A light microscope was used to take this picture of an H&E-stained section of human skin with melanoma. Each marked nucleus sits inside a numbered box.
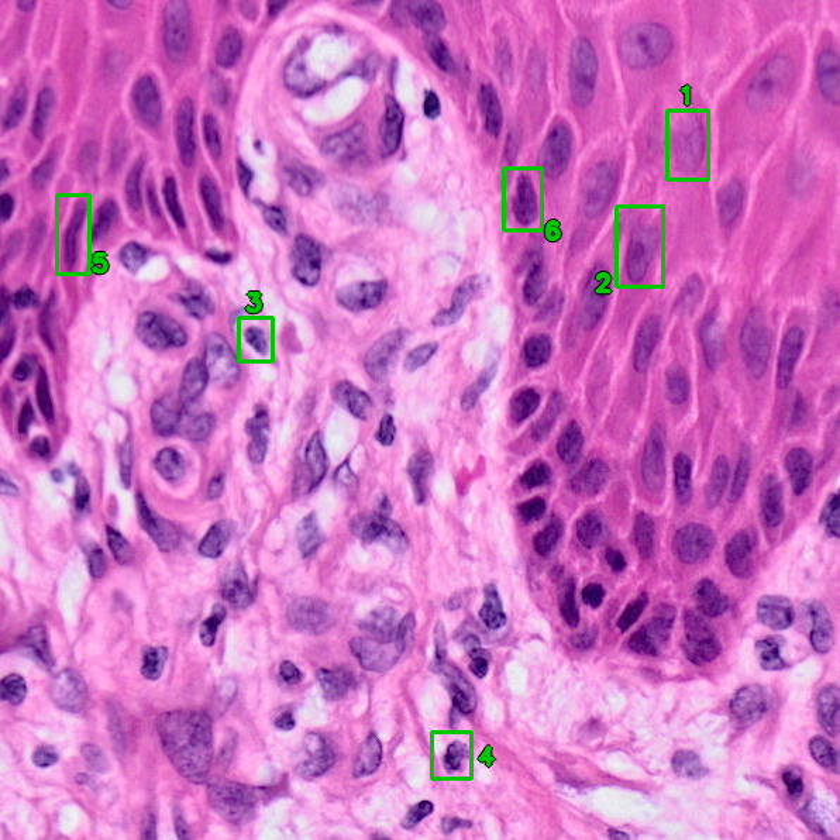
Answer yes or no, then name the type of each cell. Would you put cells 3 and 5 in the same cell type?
No, cell 3 is a lymphocyte and cell 5 is a keratinocyte.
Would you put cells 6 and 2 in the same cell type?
Yes, both are keratinocytes.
